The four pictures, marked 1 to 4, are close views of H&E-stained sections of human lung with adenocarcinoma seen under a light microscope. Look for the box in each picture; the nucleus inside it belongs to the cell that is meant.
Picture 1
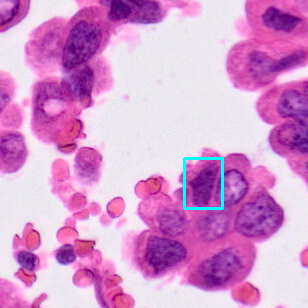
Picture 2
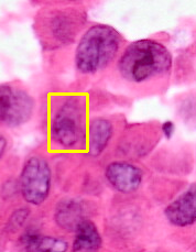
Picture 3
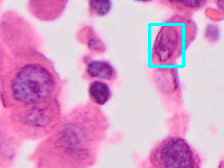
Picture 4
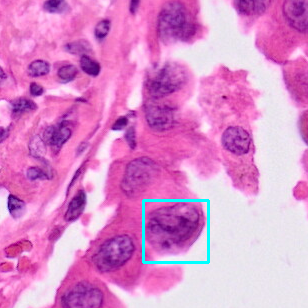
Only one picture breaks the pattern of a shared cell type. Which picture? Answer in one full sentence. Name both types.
The others show carcinoma cells, but picture 3 shows a “macrophage or monocyte”.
